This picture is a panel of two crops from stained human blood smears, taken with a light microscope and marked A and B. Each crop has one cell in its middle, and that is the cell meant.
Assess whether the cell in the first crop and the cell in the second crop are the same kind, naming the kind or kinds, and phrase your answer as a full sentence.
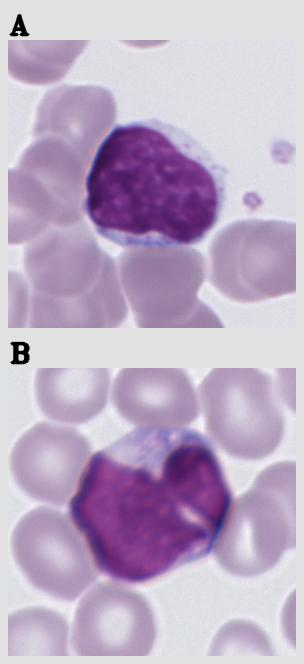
Yes, the centred cells are large granular lymphocytes in both crops.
